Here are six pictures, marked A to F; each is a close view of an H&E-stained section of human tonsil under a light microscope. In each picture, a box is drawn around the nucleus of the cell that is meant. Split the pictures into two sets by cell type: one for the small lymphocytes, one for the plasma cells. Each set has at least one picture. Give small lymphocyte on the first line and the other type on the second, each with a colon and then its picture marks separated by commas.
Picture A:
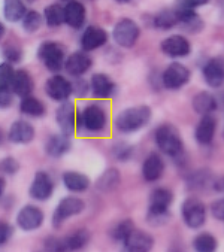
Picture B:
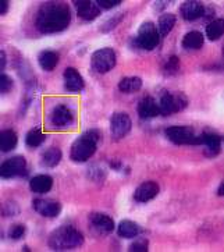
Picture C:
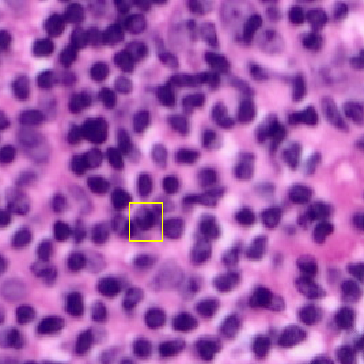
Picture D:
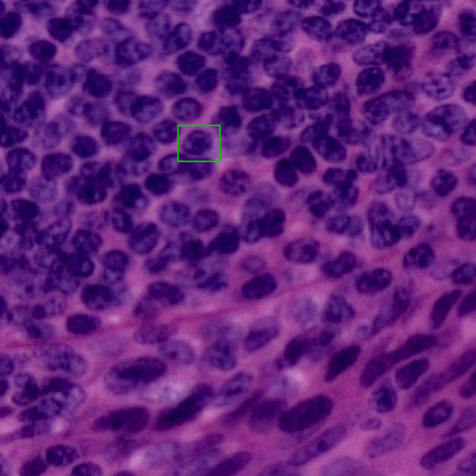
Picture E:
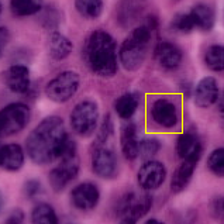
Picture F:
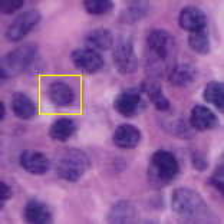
small lymphocyte: A, C, D
plasma cell: B, E, F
